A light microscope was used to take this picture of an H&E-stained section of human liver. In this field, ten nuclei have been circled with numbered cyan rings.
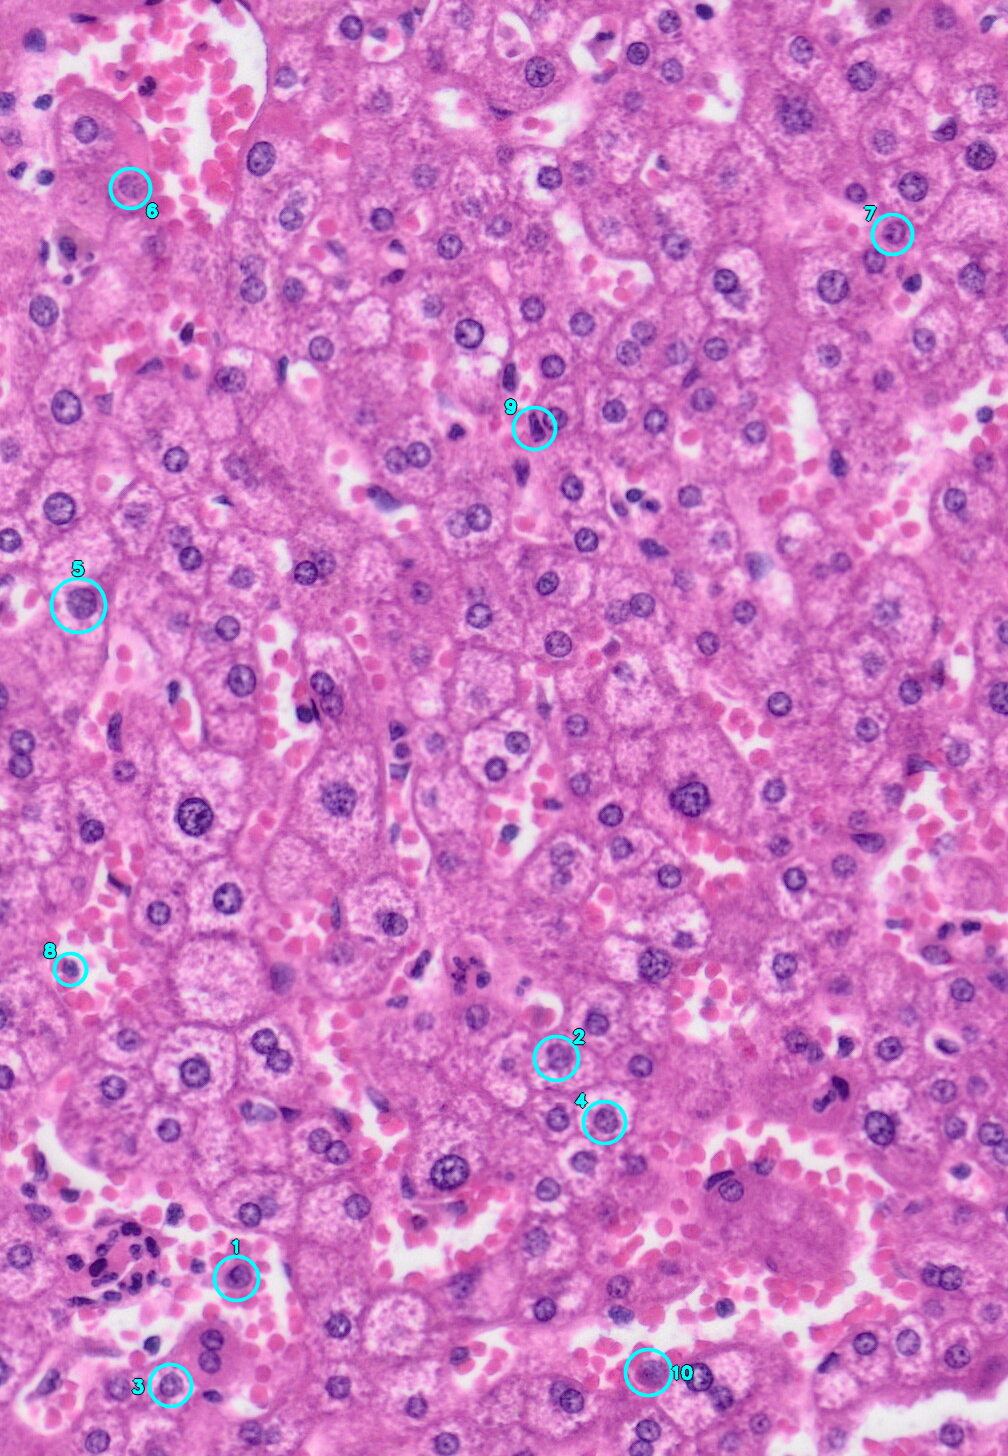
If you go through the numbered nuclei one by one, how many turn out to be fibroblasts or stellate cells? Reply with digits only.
1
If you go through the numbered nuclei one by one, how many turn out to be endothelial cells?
1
